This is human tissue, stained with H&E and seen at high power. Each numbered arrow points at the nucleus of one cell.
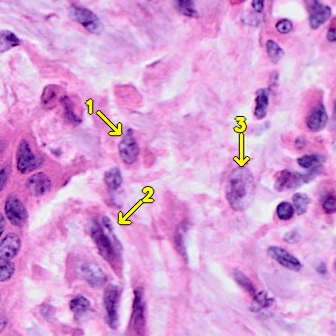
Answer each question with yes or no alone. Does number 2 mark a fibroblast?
yes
